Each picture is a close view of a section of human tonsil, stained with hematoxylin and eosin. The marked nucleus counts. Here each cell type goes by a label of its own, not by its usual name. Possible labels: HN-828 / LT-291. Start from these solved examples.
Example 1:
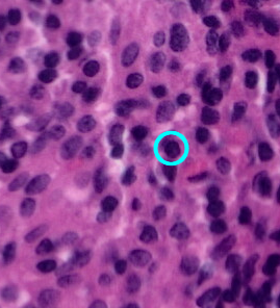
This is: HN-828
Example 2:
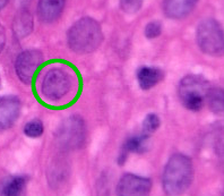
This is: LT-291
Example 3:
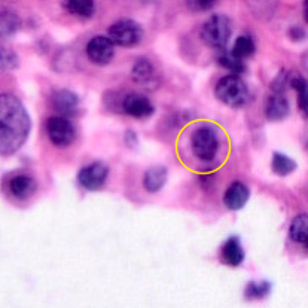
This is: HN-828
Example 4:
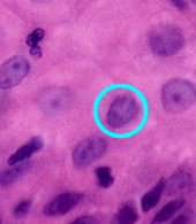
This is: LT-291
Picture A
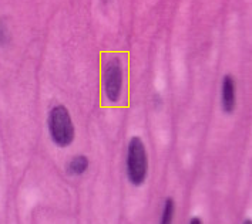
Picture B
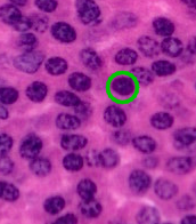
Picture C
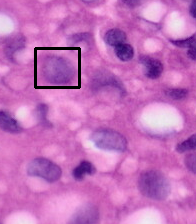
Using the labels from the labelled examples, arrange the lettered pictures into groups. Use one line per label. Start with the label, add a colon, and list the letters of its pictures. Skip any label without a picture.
HN-828: B
LT-291: A, C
